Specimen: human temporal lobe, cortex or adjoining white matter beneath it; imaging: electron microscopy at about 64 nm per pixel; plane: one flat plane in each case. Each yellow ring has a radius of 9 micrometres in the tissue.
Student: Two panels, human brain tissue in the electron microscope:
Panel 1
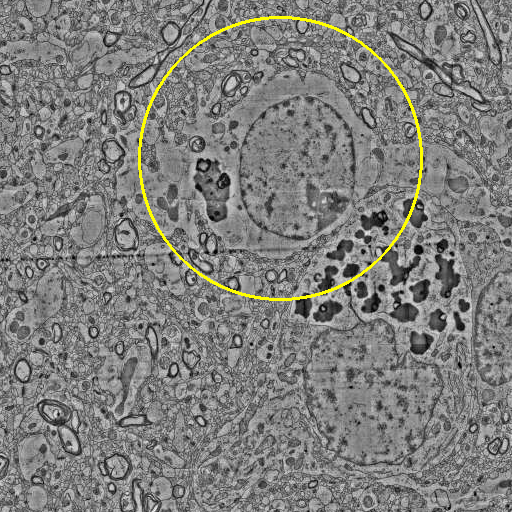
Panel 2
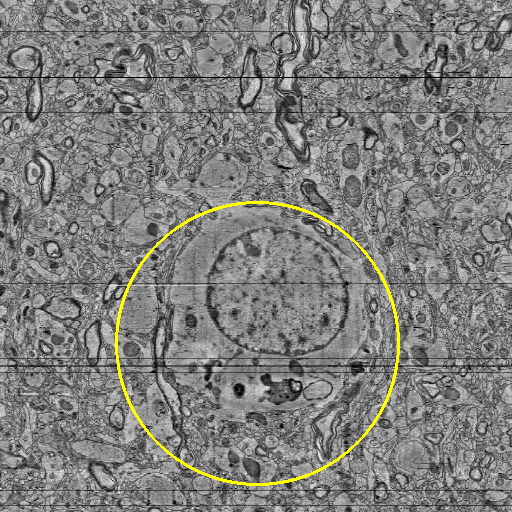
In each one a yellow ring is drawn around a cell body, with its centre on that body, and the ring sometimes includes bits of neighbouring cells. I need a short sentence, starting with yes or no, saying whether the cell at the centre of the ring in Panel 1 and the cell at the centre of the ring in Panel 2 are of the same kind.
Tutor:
Yes, they are the same kind of cell.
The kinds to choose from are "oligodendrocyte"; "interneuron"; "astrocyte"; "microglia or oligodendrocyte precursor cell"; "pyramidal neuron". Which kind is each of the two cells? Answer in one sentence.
Both cells are the same kind, each one being an astrocyte.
